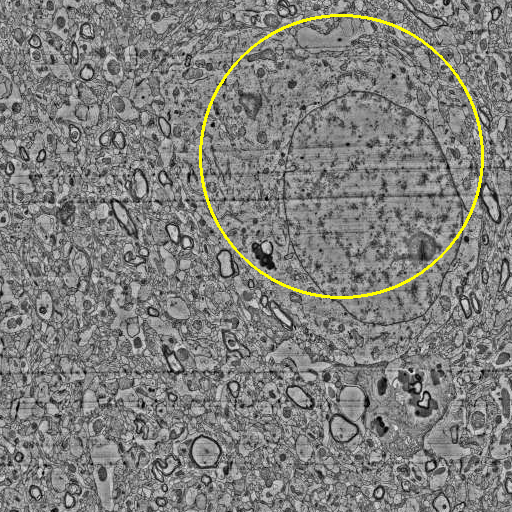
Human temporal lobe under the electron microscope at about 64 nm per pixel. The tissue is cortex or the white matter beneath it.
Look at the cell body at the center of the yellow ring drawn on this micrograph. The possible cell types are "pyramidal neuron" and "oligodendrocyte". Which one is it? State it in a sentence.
The cell in the middle of the ring is a pyramidal neuron.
